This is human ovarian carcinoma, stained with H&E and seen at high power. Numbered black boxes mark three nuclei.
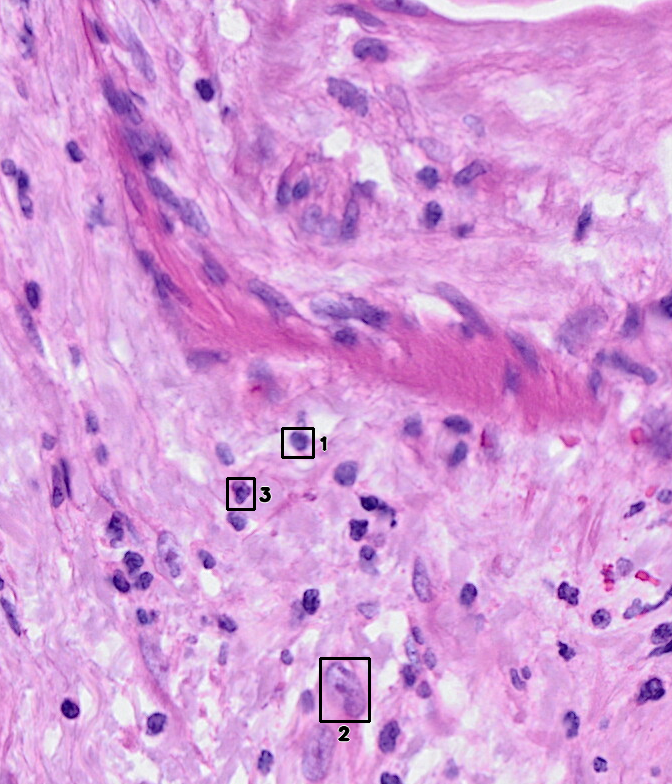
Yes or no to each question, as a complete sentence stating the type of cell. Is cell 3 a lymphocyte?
Yes, for number 3, the cell is a lymphocyte.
